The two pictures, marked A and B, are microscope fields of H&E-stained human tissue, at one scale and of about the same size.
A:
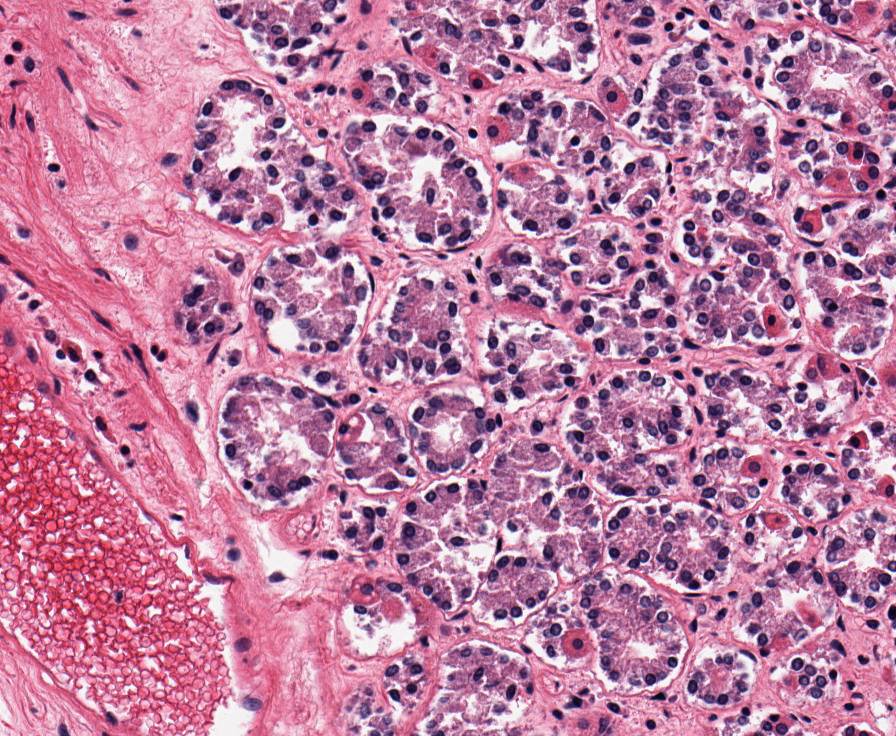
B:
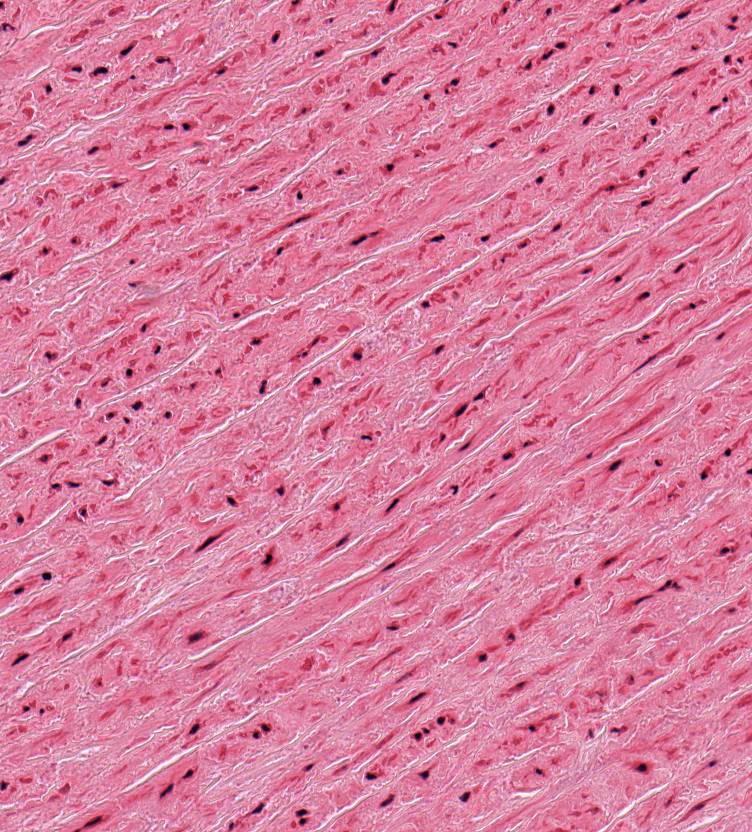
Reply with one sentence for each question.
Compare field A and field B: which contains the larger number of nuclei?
The larger number of nuclei is in field A.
